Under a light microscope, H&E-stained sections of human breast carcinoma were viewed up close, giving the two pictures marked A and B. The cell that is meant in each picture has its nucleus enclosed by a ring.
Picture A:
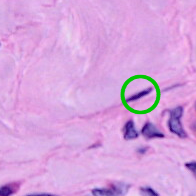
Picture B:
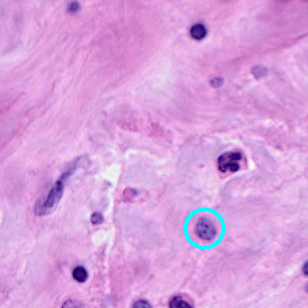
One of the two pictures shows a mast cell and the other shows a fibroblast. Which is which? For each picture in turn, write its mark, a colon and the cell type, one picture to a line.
A: fibroblast
B: mast cell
